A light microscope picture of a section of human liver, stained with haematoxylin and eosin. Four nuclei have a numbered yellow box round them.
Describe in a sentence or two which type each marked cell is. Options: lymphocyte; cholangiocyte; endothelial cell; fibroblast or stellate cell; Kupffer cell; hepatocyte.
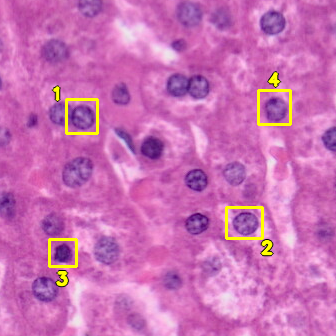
Cells 1, 2 and 4 are hepatocytes. Cell 3 is a fibroblast or stellate cell.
